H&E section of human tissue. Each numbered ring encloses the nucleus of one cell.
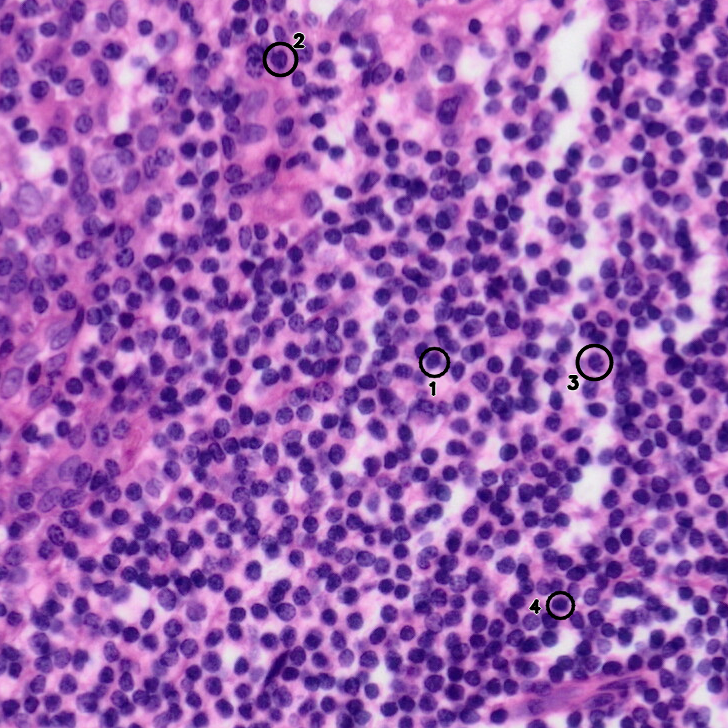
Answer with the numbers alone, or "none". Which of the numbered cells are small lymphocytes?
1, 3, 4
